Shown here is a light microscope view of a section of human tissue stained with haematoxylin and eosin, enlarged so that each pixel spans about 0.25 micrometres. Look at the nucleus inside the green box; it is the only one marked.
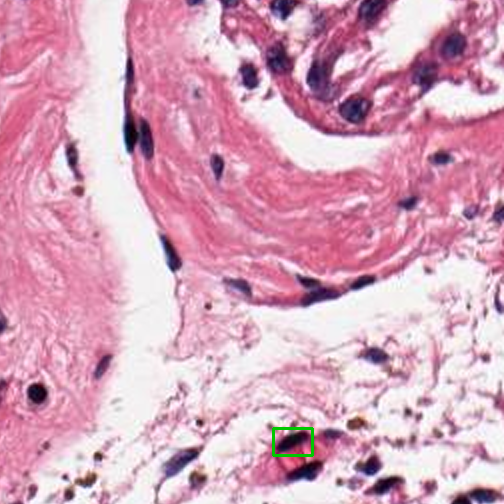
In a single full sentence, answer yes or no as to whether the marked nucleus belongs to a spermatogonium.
No, the marked nucleus belongs not to a spermatogonium but to a supporting cell of connective tissue, a vessel or the immune system.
